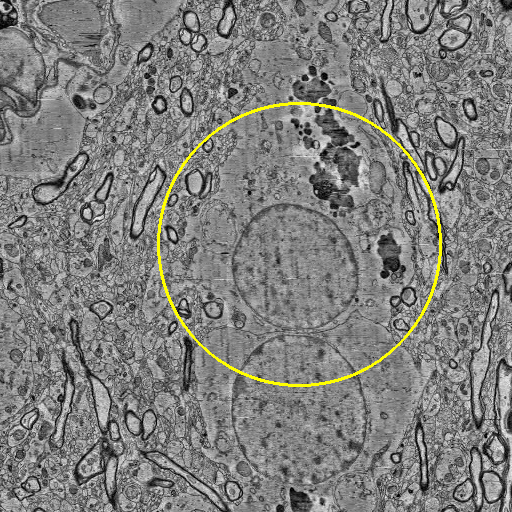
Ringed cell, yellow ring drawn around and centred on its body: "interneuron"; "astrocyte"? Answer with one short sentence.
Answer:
This ringed cell is an astrocyte.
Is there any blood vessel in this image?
Yes, one appears.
